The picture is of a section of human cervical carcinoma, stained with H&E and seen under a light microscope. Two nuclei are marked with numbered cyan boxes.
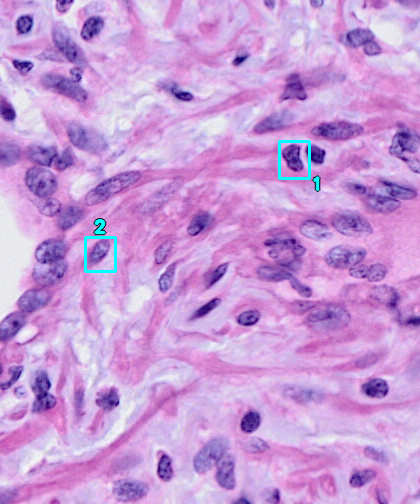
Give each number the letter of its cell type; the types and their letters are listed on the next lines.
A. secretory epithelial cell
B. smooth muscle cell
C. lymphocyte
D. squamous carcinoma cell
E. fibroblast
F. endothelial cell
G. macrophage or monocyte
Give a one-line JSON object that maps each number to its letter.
{"1": "C", "2": "B"}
